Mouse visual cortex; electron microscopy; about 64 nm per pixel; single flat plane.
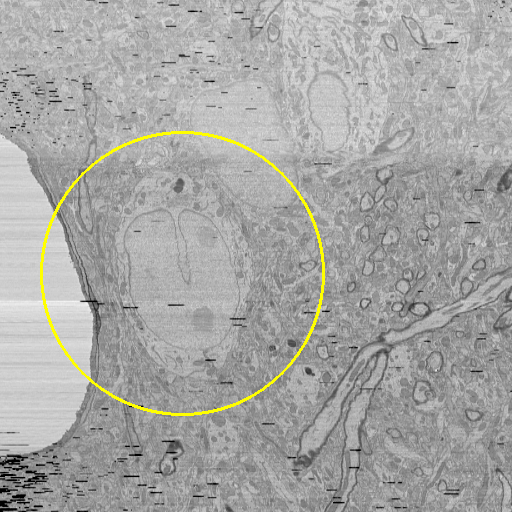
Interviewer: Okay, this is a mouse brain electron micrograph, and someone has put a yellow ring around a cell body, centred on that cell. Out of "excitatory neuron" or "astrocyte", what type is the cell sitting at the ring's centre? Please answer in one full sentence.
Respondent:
The cell at the centre of the yellow ring in this picture is an excitatory neuron.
